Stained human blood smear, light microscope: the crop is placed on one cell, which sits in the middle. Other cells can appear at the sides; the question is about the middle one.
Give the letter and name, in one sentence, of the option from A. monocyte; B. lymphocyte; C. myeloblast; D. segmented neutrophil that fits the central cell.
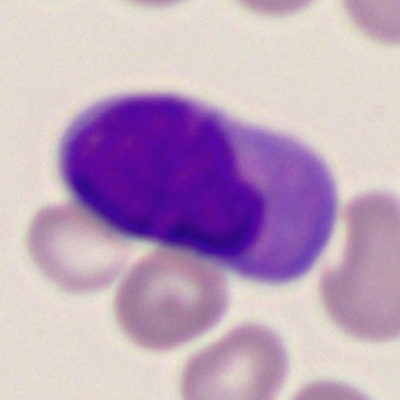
The one cell at the centre is a myeloblast, as correctly stated in option C.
